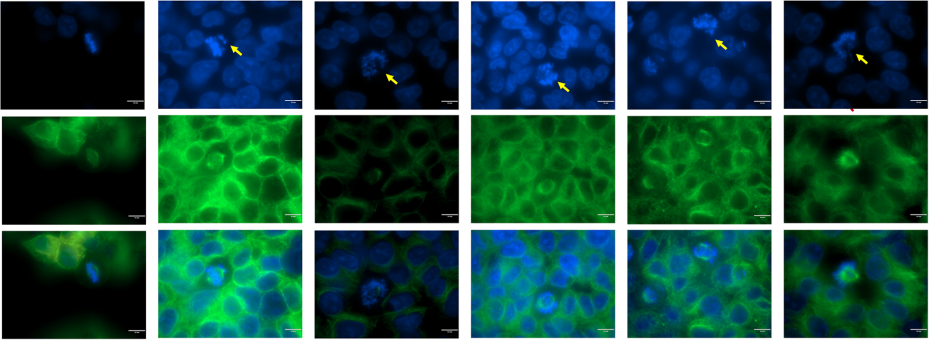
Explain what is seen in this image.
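Most cells are in interphase, with round to oval, evenly stained nuclei packed side by side and green cytoplasm outlining each cell. In each column one cell is in mitosis: its chromatin is condensed into bright, compact chromosomes. In the leftmost column the chromosomes form a compact band. In the other columns the mitotic cells show chromosomes scattered or clumped irregularly rather than gathered into one plate, marking defective chromosome congression. Green intensity varies between columns, bright and sharply outlining cells in some, faint in others.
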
